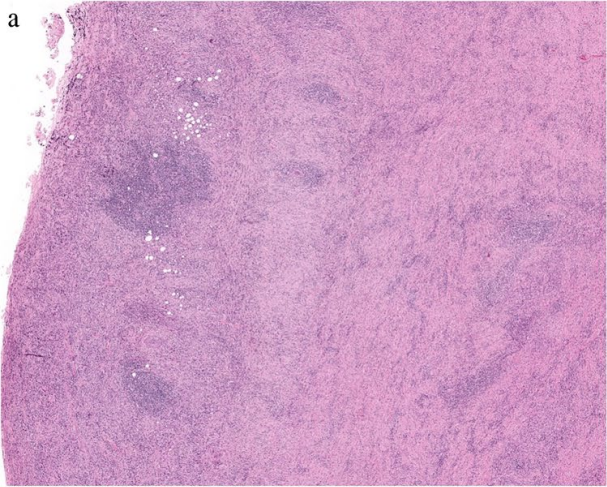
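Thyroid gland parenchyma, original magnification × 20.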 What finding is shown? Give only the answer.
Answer: Inflammatory cell infiltrates along with fibrosis.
